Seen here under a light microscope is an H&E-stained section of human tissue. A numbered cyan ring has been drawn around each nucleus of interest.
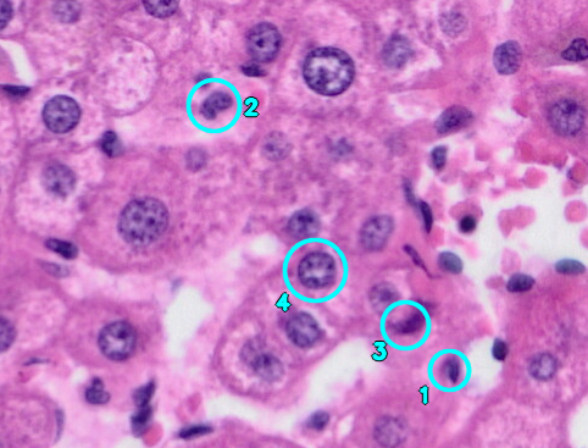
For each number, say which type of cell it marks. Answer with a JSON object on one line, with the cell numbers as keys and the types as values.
{"1": "fibroblast or stellate cell", "2": "Kupffer cell", "3": "fibroblast or stellate cell", "4": "hepatocyte"}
